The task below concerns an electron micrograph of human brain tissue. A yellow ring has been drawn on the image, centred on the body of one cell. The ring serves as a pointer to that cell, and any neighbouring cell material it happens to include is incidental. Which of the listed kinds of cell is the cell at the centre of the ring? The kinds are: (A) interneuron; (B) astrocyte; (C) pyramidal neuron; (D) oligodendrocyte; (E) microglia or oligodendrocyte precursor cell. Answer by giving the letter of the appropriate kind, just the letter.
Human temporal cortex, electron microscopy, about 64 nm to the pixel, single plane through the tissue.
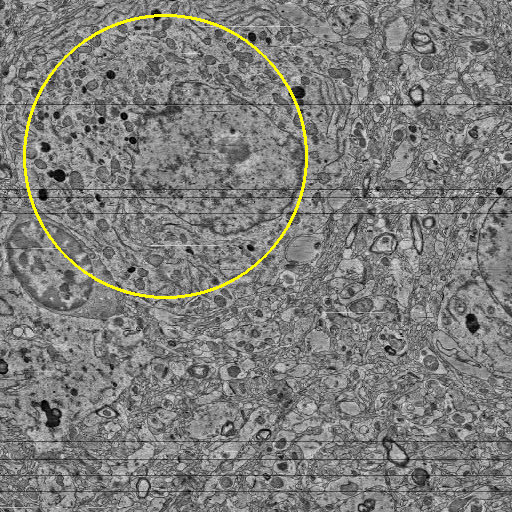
A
